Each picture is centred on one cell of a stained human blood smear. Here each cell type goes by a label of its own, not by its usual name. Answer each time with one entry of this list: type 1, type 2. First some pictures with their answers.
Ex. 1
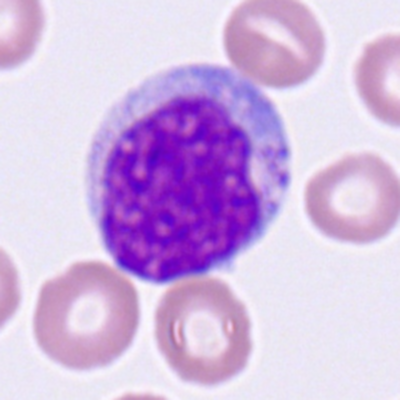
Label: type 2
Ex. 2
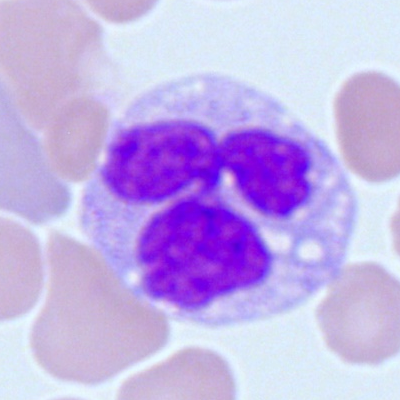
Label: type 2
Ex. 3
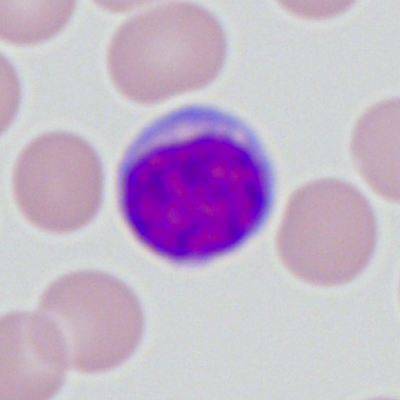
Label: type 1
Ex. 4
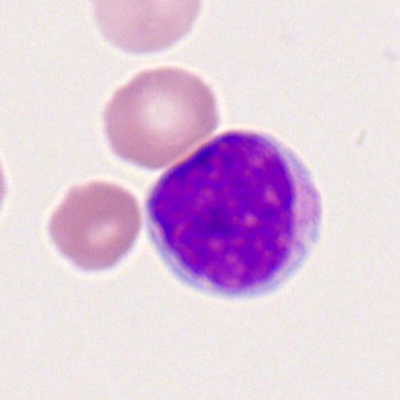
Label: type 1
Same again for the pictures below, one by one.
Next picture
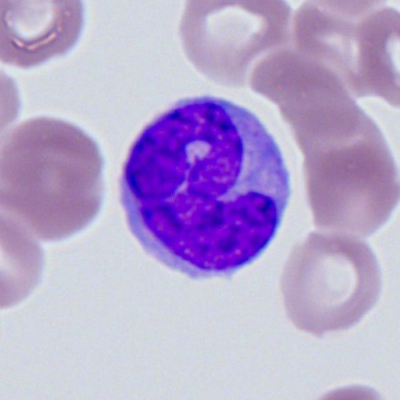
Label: type 2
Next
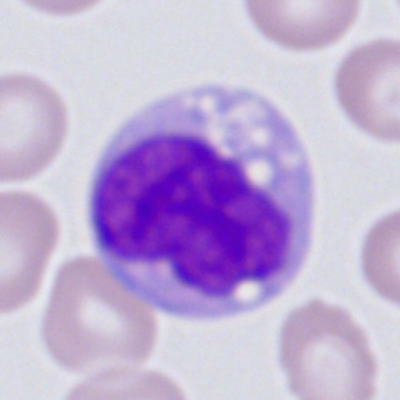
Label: type 2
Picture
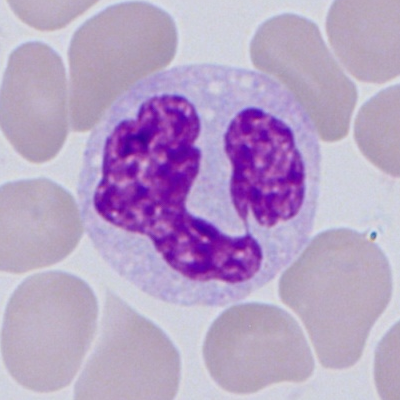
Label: type 2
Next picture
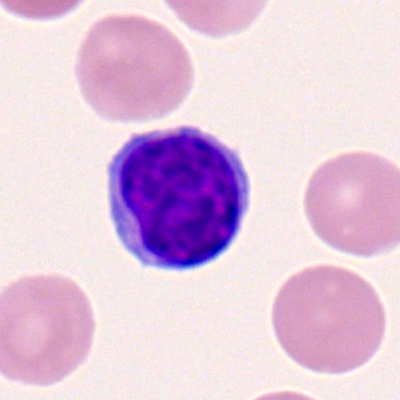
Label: type 1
